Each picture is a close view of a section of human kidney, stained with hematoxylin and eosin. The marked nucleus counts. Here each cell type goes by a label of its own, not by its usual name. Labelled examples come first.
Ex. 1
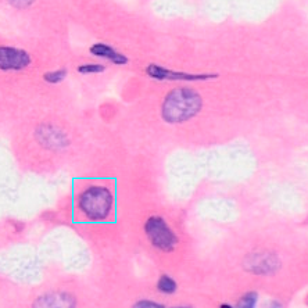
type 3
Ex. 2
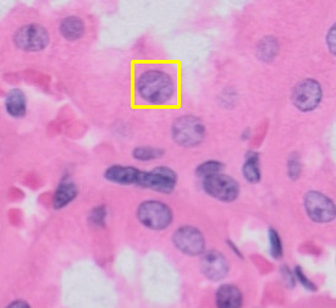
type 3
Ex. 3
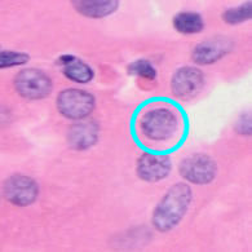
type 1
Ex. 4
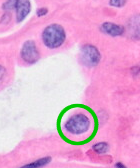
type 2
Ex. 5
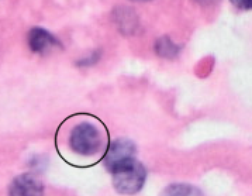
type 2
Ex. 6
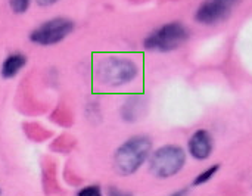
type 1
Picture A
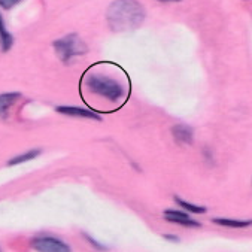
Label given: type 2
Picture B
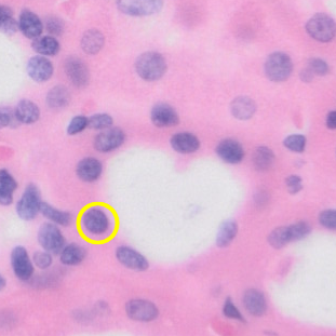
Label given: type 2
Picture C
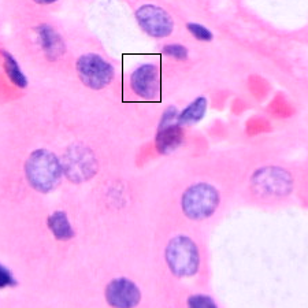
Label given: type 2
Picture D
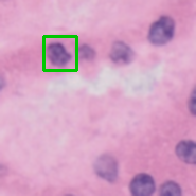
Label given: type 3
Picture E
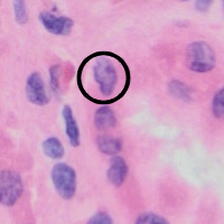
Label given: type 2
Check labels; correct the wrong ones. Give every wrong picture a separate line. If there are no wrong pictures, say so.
E should be type 3, not type 2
